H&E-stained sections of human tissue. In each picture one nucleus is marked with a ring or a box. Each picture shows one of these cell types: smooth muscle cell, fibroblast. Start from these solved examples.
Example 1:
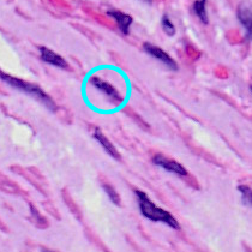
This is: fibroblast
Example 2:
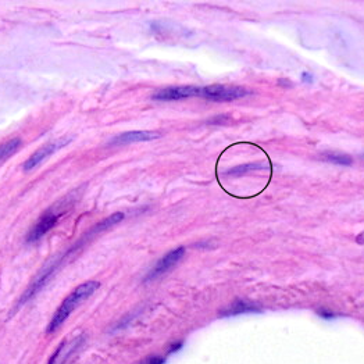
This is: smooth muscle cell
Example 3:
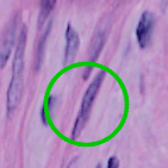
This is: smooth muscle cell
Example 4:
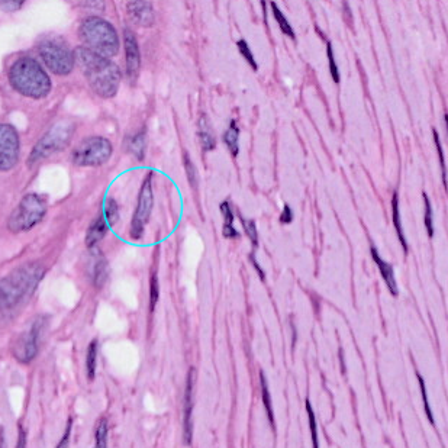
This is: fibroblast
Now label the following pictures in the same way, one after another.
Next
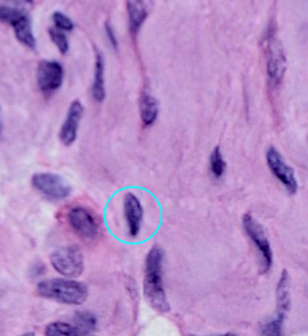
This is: fibroblast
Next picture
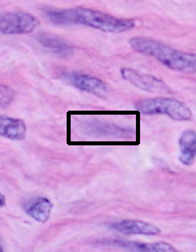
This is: smooth muscle cell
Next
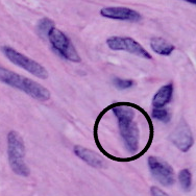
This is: fibroblast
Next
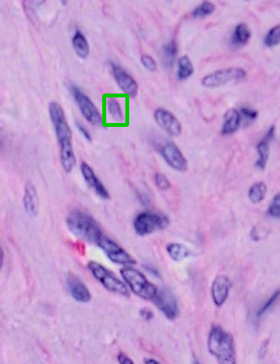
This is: smooth muscle cell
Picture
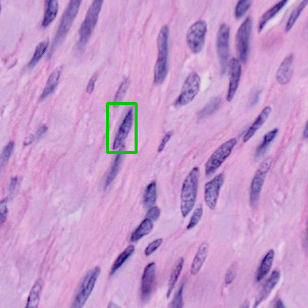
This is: fibroblast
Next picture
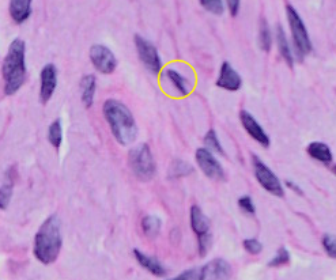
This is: fibroblast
